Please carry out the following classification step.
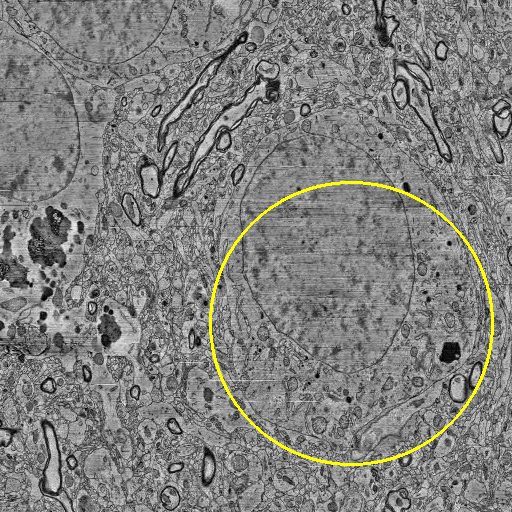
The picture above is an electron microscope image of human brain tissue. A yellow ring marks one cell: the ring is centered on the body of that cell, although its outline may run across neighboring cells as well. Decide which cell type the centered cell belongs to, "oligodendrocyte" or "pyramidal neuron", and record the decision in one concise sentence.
The cell centered in the yellow ring is a pyramidal neuron.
